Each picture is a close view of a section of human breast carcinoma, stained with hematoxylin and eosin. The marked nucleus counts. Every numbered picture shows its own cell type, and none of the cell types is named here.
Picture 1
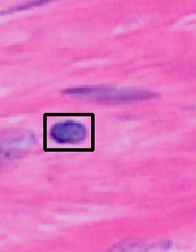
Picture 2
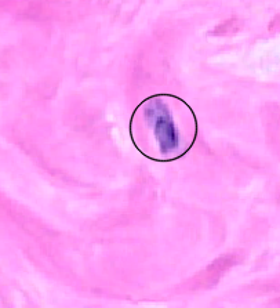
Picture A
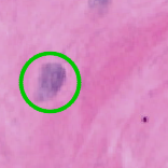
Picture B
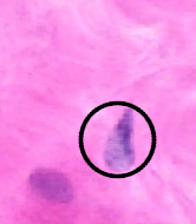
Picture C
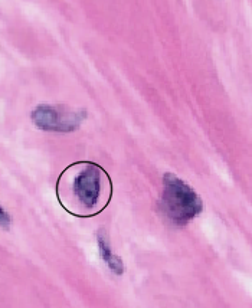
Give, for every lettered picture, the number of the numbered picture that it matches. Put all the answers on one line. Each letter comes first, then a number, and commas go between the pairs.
A 2, B 2, C 1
